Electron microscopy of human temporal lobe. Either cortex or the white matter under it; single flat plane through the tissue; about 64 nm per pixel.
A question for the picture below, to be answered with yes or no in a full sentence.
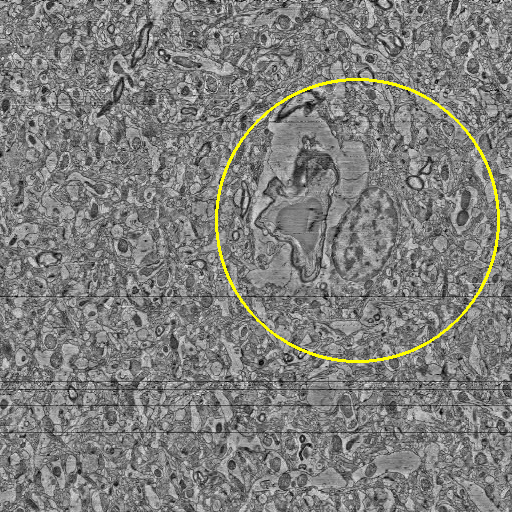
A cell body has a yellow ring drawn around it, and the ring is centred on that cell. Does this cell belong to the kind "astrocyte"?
No, the pictured cell at the ring's centre belongs to another kind.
